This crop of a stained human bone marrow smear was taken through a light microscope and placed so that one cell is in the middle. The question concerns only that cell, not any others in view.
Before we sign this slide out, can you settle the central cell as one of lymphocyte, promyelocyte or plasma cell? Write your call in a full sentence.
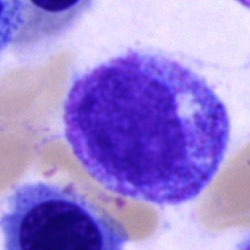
On this slide crop, the central cell is a promyelocyte.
